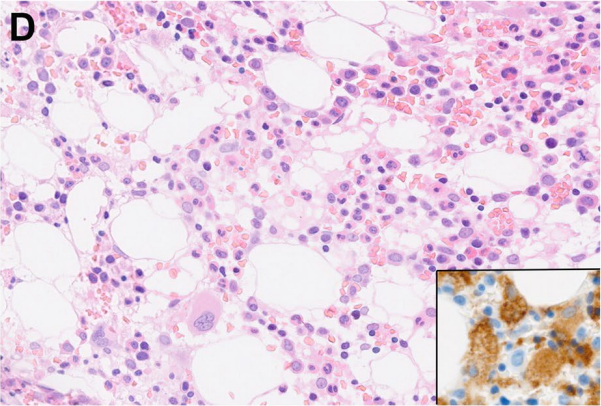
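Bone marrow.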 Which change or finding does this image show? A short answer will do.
Histiocytic hyperplasia with erythrophagocytosis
